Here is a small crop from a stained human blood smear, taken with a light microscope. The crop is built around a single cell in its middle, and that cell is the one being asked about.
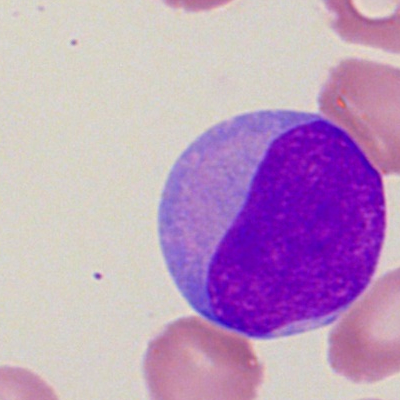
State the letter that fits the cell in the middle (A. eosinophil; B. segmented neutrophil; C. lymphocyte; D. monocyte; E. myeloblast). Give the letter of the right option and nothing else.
E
